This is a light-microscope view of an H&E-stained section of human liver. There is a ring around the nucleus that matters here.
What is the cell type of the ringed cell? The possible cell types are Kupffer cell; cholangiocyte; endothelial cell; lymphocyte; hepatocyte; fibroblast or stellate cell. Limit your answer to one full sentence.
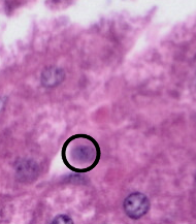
As classified here, the ringed cell is a Kupffer cell.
